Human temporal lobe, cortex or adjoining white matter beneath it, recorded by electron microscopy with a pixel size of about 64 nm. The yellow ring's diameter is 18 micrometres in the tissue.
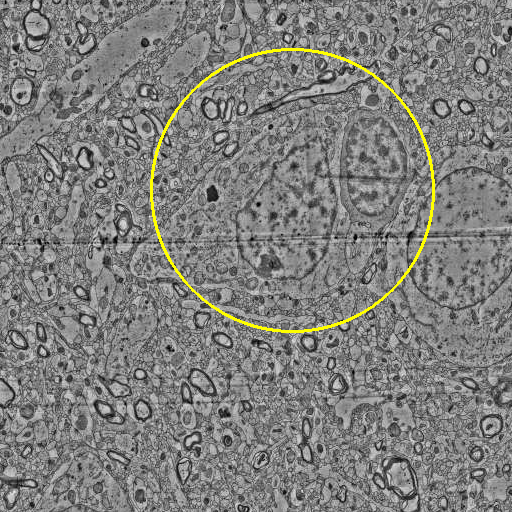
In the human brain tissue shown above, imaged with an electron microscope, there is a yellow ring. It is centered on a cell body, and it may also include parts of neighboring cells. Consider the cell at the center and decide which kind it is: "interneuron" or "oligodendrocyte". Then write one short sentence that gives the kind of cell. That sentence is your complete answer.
This centered cell body is that of an interneuron.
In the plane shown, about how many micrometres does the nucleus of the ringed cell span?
Roughly 9 by 6 micrometres in this plane, for the nucleus of the ringed cell.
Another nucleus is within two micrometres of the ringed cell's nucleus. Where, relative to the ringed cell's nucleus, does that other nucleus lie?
That second nucleus is to the upper right of it.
